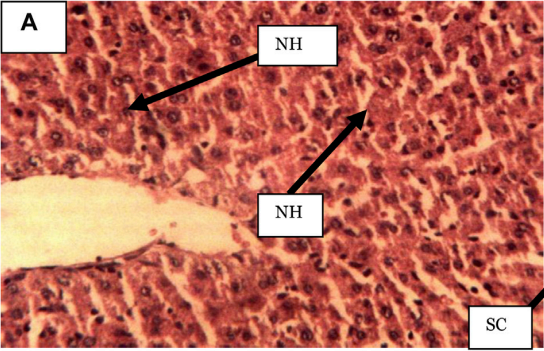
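Liver parenchyma with hepatocytes arranged in cords that run outward from a large, empty, thin-walled vein. The hepatocytes are polygonal, with pink cytoplasm and round, central, dark-purple nuclei, some with visible nucleoli. Narrow, clear sinusoids separate the cords. No masses of blood cells, inflammatory cell clusters or areas of cell loss are seen.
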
